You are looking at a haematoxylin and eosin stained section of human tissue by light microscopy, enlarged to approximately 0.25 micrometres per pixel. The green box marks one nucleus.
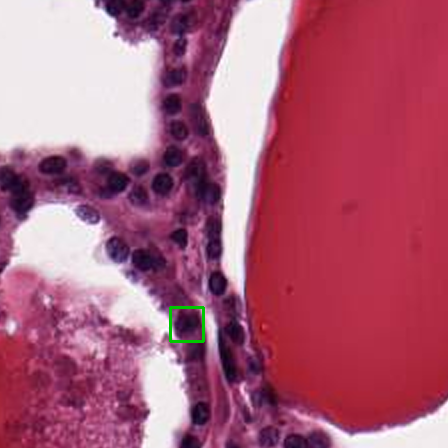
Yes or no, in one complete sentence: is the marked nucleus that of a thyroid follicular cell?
Yes, the marked nucleus is that of a thyroid follicular cell in this section.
